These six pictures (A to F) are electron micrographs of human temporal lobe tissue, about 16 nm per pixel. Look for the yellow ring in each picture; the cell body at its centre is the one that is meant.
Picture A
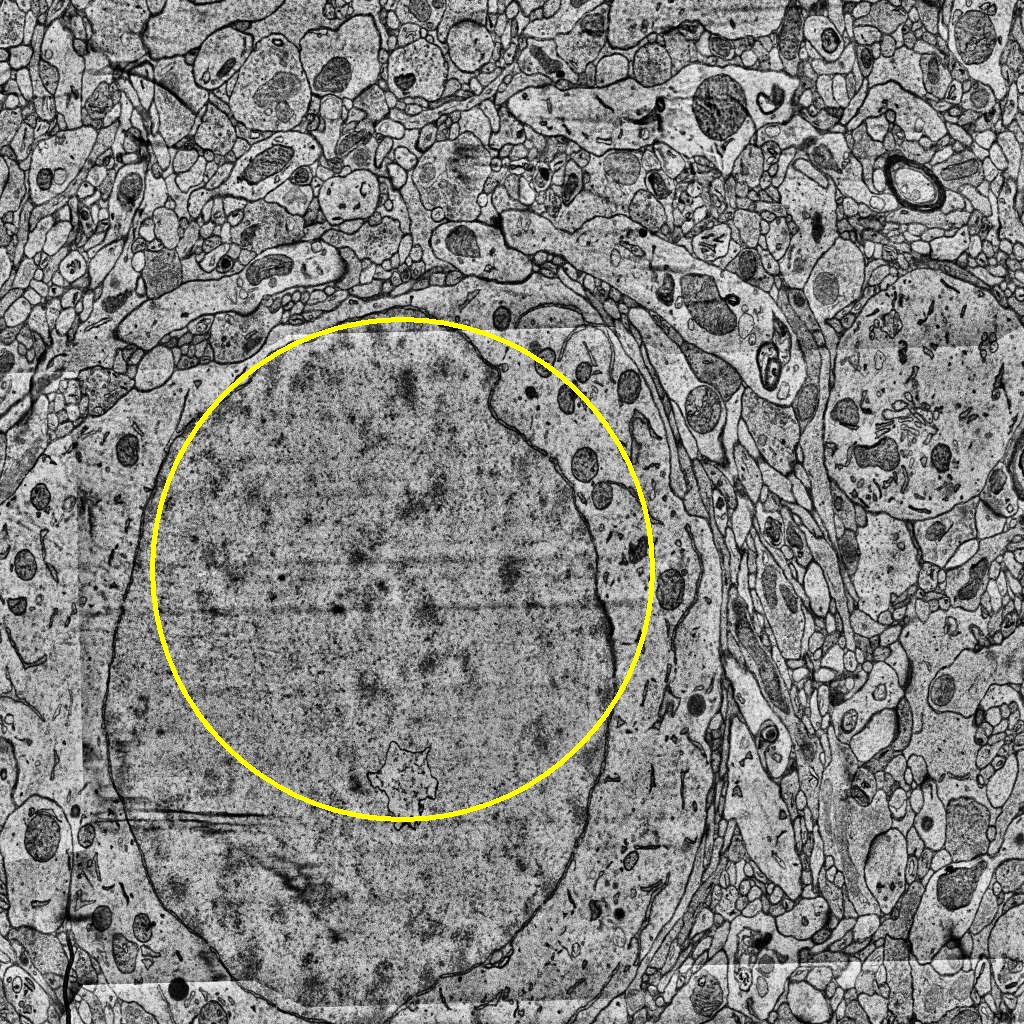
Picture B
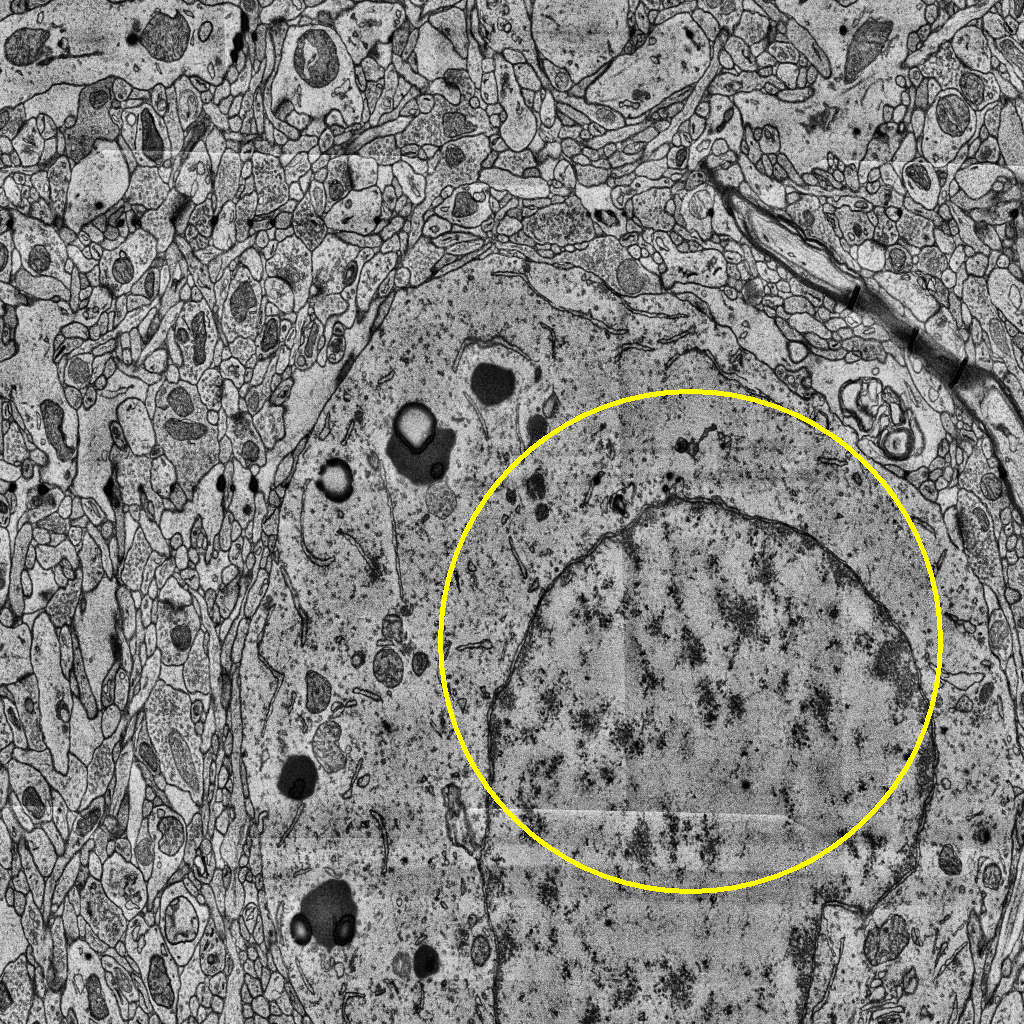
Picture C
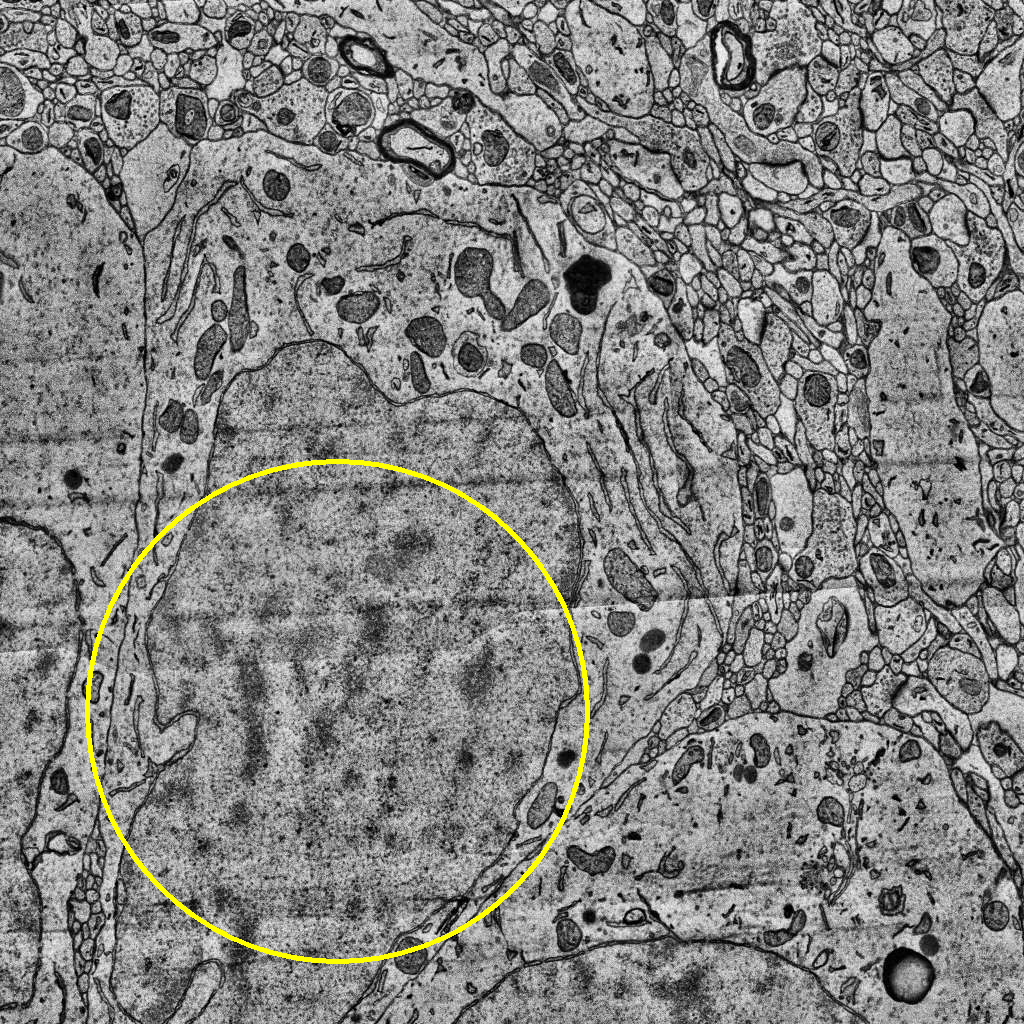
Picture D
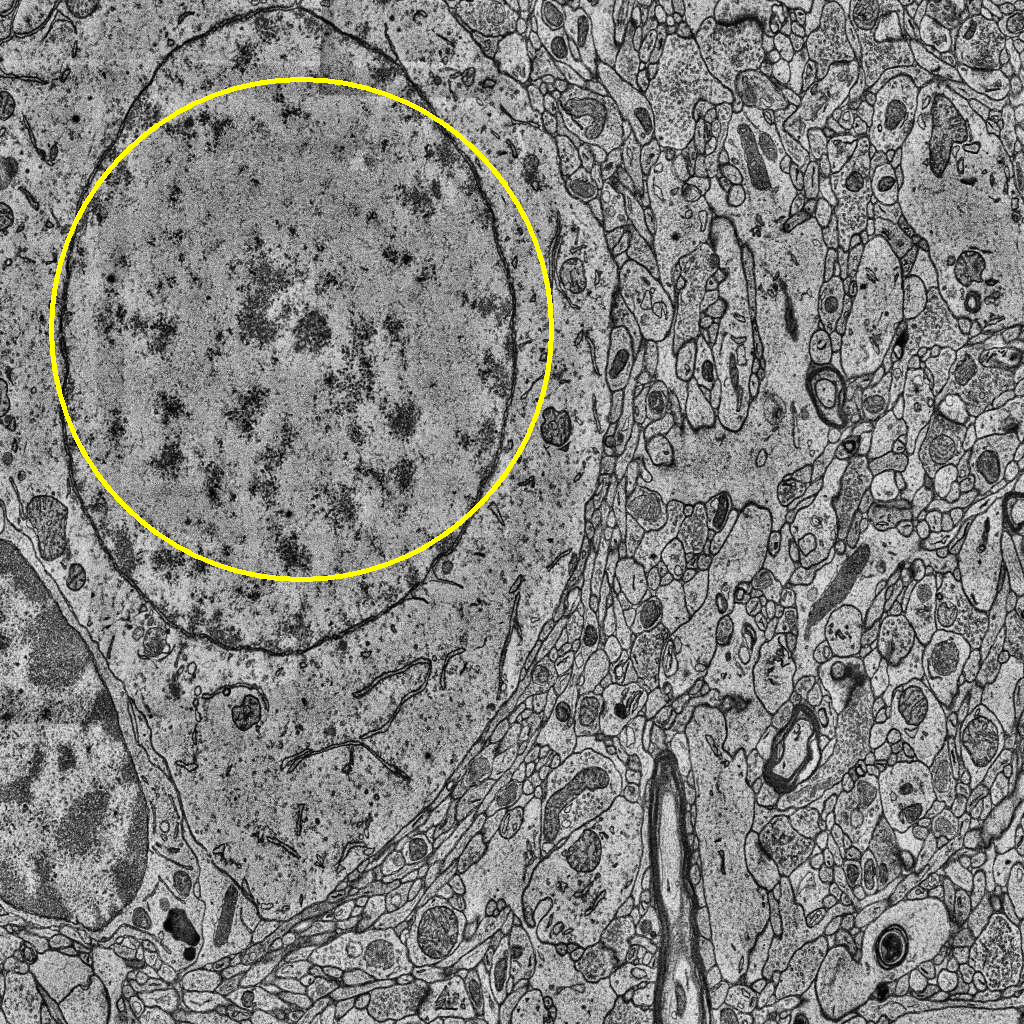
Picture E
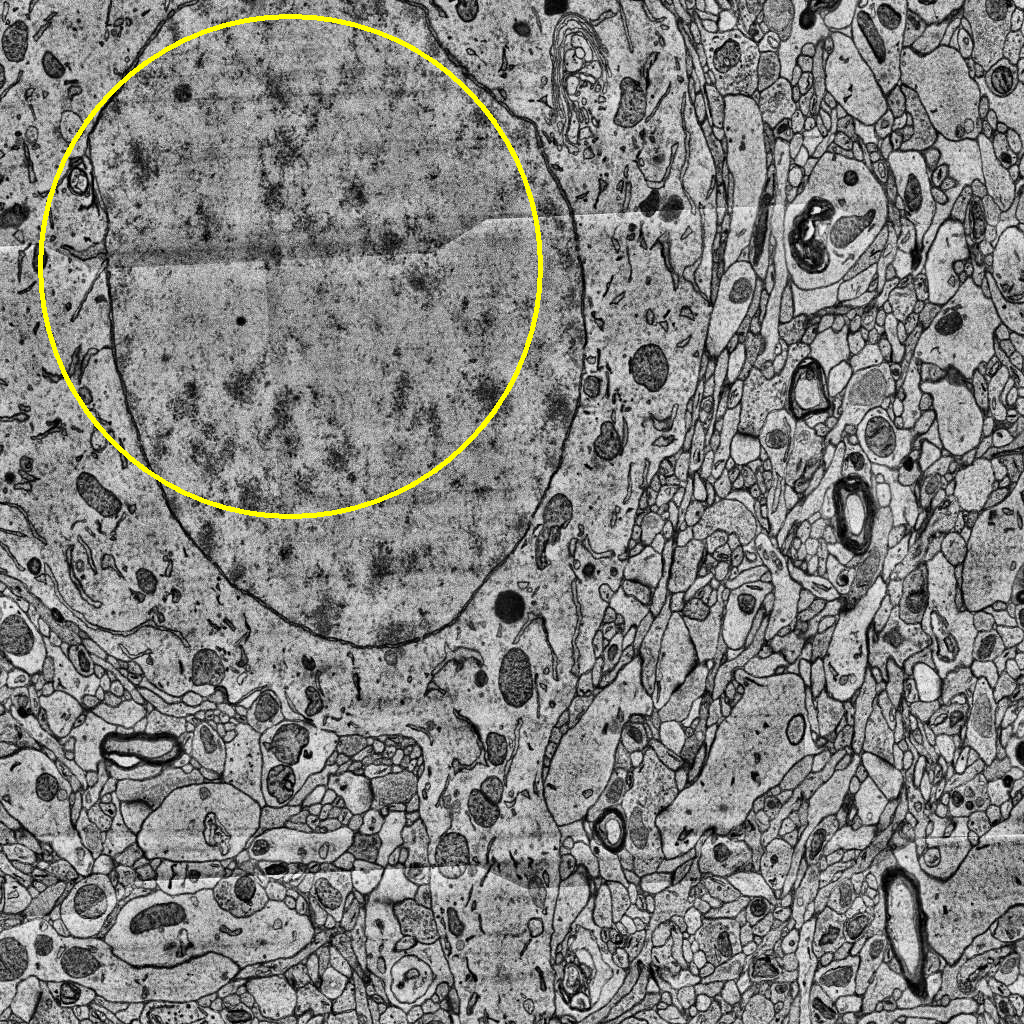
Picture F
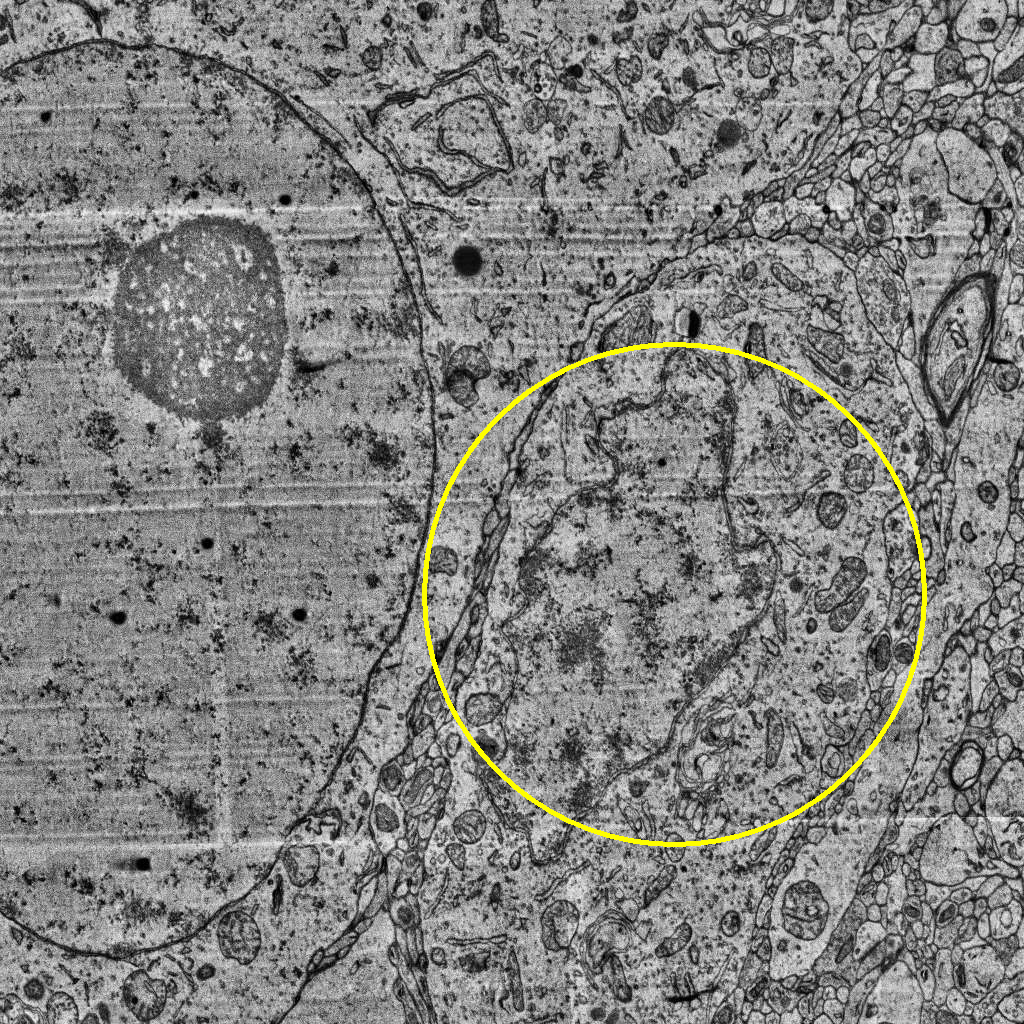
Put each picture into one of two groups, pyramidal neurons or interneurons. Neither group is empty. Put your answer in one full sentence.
Pictures A, B, D and E show pyramidal neurons, while pictures C and F show interneurons.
